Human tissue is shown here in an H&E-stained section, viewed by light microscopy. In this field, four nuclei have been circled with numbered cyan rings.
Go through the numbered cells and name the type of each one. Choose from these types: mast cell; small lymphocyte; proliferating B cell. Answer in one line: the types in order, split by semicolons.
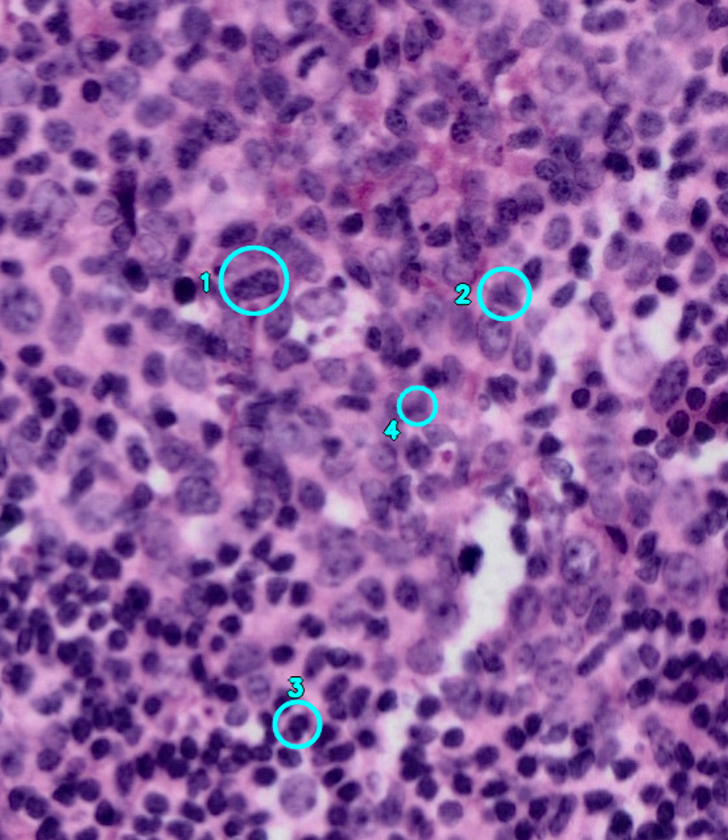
proliferating B cell; proliferating B cell; small lymphocyte; proliferating B cell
